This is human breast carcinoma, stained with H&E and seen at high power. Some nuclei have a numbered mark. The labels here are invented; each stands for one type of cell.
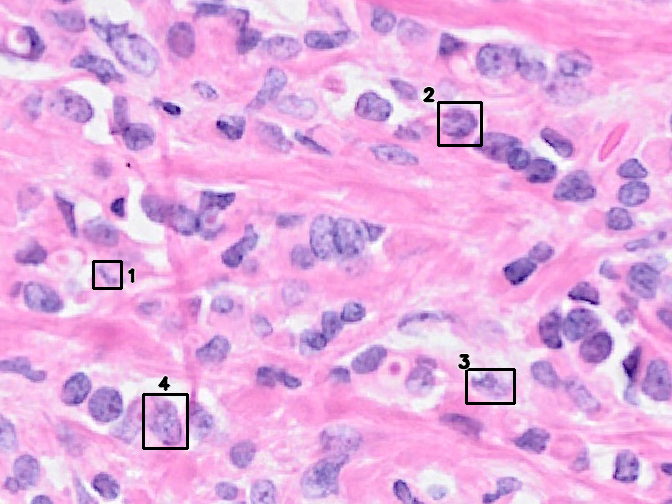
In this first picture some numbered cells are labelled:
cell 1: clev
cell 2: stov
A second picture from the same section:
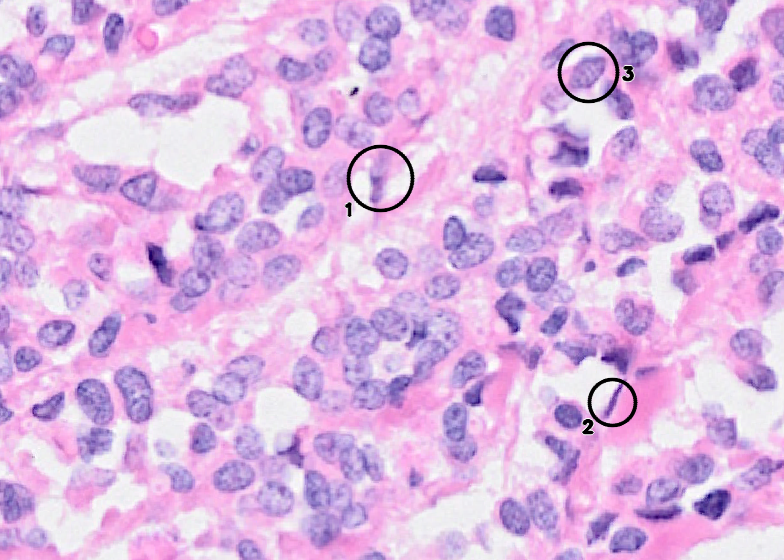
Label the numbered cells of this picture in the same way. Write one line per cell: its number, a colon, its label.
1: clev
2: clev
3: stov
